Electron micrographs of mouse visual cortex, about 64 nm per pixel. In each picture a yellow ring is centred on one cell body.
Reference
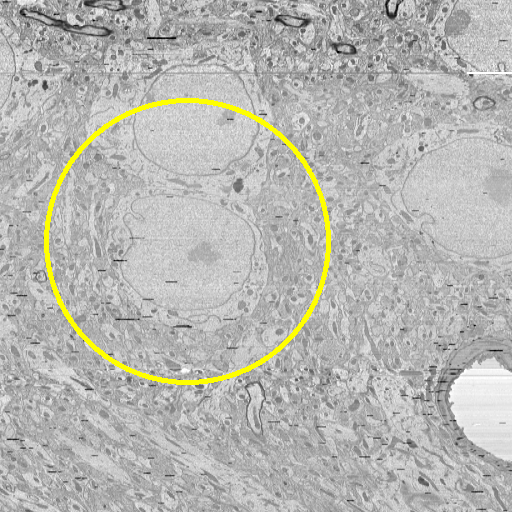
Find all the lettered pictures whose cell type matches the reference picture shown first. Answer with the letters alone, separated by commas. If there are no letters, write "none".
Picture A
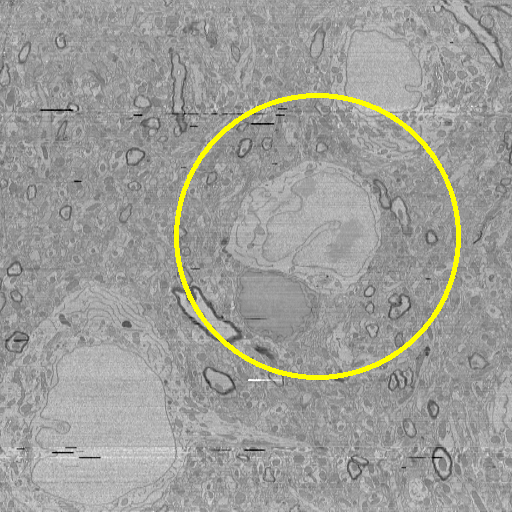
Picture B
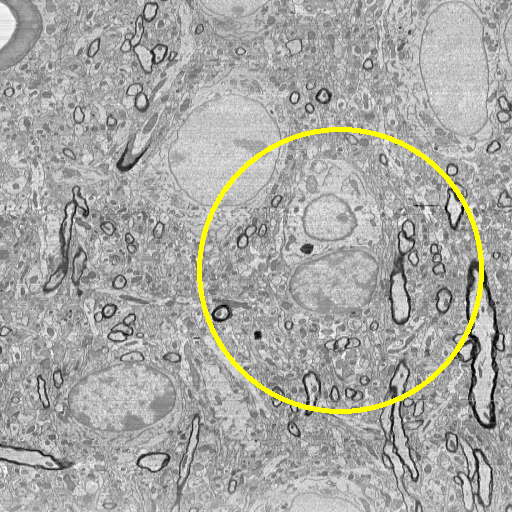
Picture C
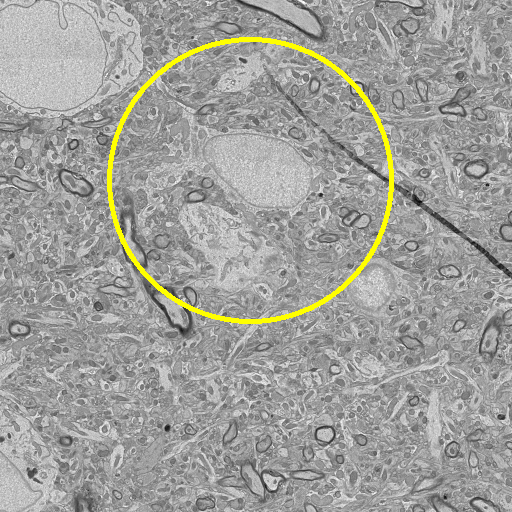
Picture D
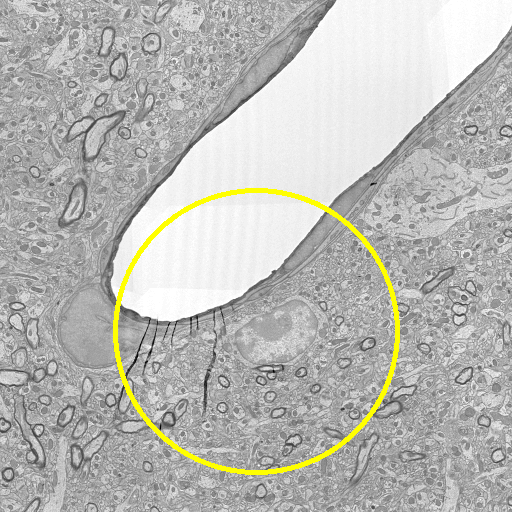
A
